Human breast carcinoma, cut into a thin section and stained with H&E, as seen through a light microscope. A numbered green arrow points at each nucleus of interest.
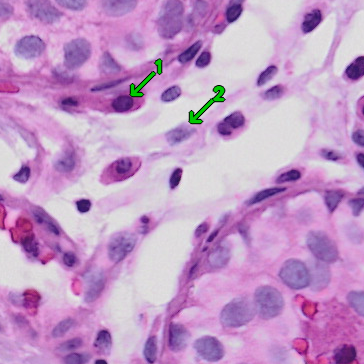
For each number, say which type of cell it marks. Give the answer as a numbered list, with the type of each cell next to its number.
1. mast cell
2. fibroblast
